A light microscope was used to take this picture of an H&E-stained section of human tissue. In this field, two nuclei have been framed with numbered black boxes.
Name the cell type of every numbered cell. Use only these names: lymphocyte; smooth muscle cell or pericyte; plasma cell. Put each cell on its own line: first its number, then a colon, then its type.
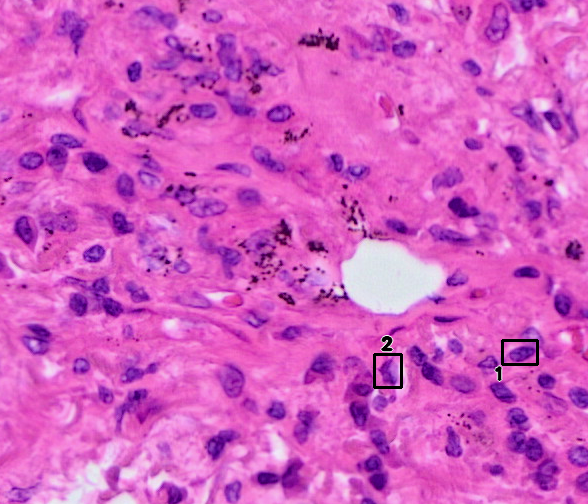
1: lymphocyte
2: plasma cell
